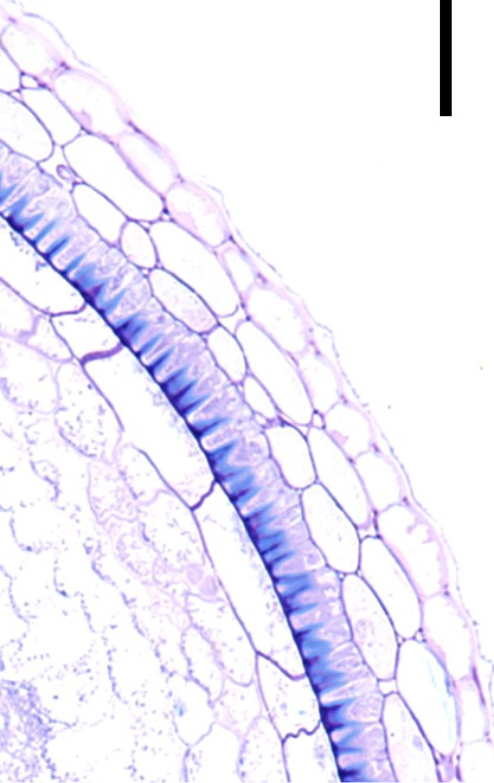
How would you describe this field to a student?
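This is a section of a seed coat made of several distinct cell layers. The outer layers consist of rows of large, thin-walled, pale purple cells with polygonal to oval outlines. Beneath them runs a single continuous row of narrow, elongated cells packed side by side perpendicular to the surface and stained deep blue, forming a palisade layer. Inner to this lie larger pale cells and loosely arranged tissue.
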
